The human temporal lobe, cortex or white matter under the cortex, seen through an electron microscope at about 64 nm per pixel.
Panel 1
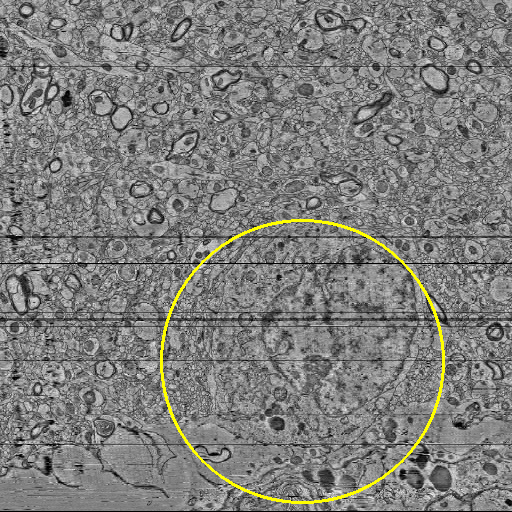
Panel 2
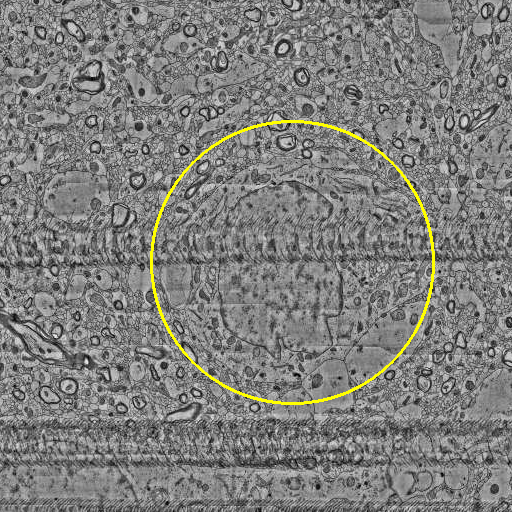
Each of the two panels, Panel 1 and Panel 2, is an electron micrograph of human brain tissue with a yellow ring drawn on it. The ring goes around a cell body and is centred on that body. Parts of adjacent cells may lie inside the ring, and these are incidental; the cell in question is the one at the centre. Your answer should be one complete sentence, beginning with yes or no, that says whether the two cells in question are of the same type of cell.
Yes, the two cells are of the same type.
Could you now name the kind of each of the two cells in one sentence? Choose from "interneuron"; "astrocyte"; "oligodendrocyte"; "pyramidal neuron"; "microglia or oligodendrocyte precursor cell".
The cell in the first picture is an interneuron, and so is the one in the second.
